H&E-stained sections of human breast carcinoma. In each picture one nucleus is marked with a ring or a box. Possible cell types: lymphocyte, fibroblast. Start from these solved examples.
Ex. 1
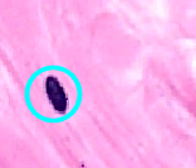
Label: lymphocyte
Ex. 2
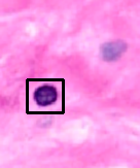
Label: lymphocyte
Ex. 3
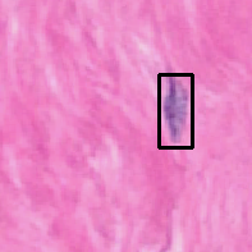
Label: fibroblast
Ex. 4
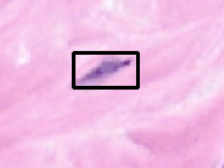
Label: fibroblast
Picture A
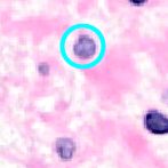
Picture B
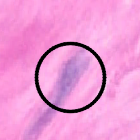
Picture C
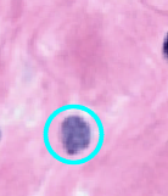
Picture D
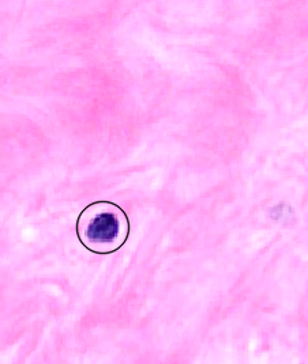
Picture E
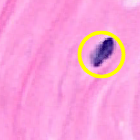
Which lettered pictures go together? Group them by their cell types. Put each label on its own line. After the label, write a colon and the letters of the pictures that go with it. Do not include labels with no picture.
lymphocyte: A, C, D, E
fibroblast: B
